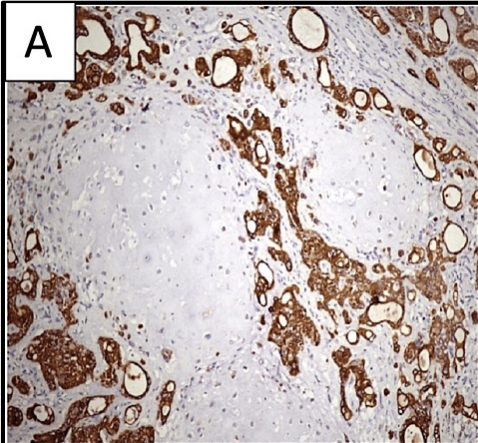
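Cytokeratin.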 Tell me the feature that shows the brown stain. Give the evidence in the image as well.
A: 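Tubules and nests. Brown-stained cells line many small round lumens. Brown-stained cells also form solid clusters without lumens. The pale matrix between these structures is unstained.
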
